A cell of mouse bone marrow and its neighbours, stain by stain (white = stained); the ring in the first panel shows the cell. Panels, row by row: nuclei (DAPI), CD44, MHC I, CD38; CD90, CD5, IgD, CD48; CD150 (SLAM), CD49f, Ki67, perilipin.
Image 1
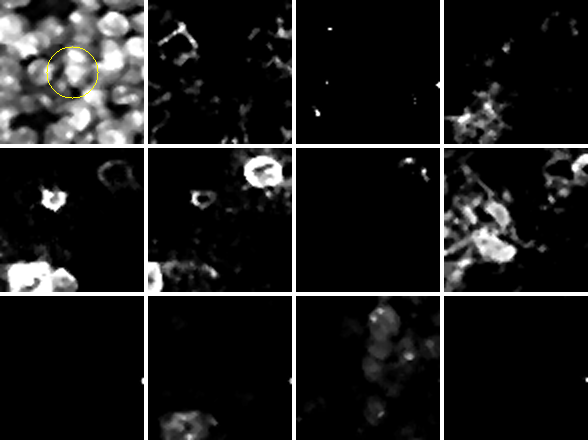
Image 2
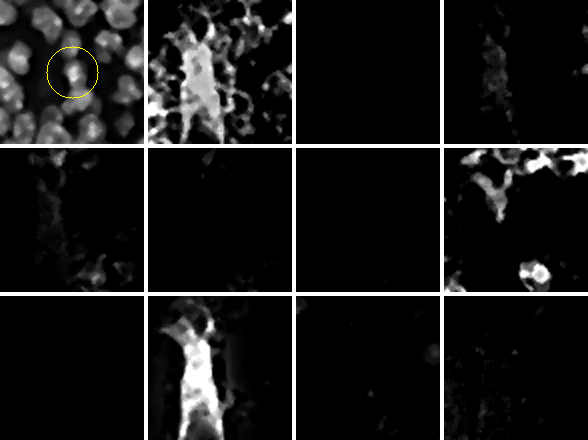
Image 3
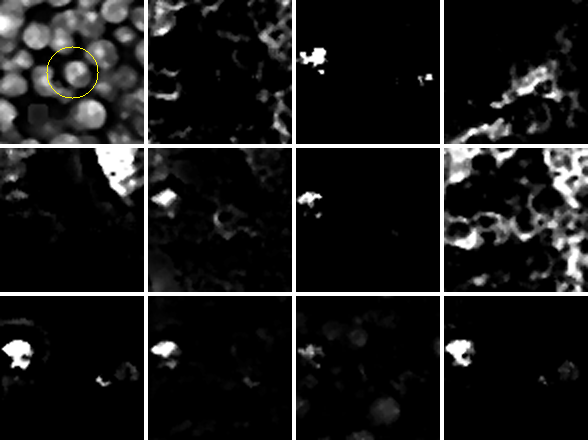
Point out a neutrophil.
That is picture 2.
